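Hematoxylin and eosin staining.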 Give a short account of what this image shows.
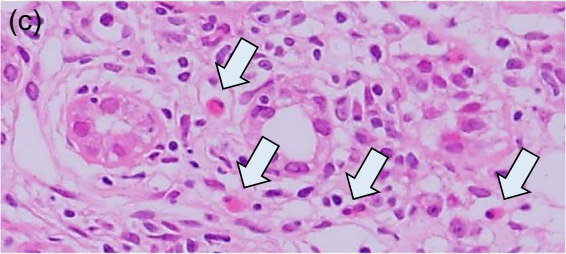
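Kidney interstitium between tubules is infiltrated by inflammatory cells, among them eosinophils with bright red-pink cytoplasm. These scattered eosinophils lie among small round and oval cells with dark purple nuclei in a pale, loose stroma. Tubules with pink cytoplasm and rounded epithelial nuclei are seen at the edges of the infiltrate.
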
